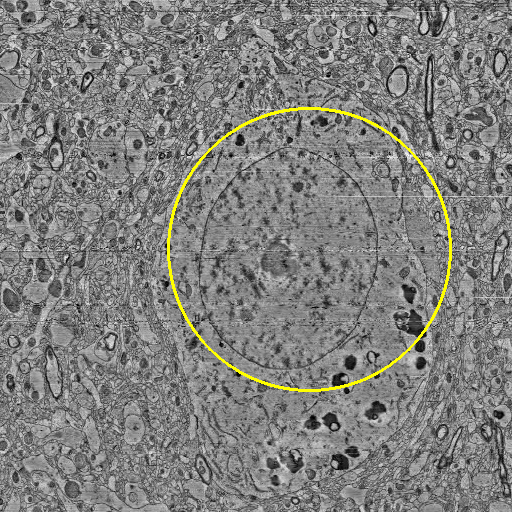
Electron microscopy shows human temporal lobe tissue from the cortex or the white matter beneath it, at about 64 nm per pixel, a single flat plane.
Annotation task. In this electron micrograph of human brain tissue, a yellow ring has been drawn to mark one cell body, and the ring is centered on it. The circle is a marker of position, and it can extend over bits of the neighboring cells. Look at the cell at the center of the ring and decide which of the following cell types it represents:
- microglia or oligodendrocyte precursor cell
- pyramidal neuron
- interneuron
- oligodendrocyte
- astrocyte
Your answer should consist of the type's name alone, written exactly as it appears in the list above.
pyramidal neuron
